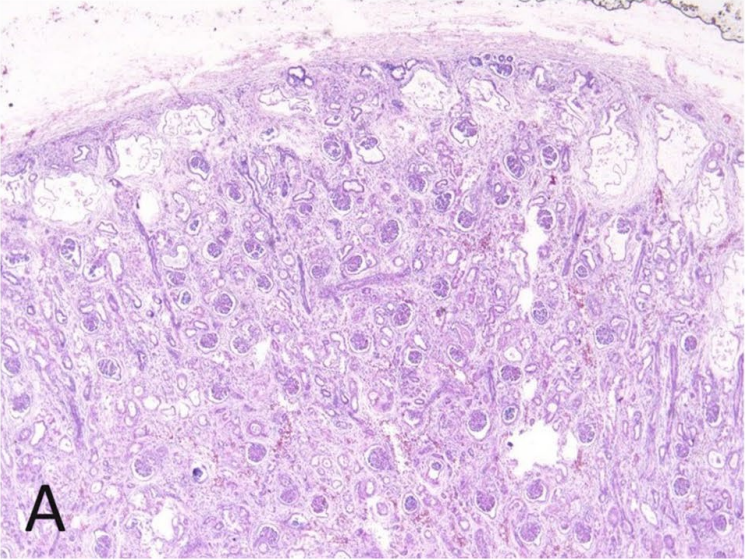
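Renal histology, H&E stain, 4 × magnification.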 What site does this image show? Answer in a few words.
subcapsular cortex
